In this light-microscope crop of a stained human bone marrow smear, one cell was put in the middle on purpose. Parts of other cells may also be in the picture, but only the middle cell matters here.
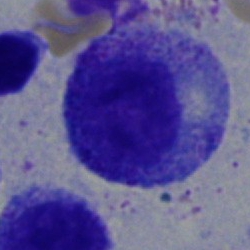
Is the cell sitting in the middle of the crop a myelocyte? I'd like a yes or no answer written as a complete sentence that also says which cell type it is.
Yes, in the middle of the crop is a myelocyte.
